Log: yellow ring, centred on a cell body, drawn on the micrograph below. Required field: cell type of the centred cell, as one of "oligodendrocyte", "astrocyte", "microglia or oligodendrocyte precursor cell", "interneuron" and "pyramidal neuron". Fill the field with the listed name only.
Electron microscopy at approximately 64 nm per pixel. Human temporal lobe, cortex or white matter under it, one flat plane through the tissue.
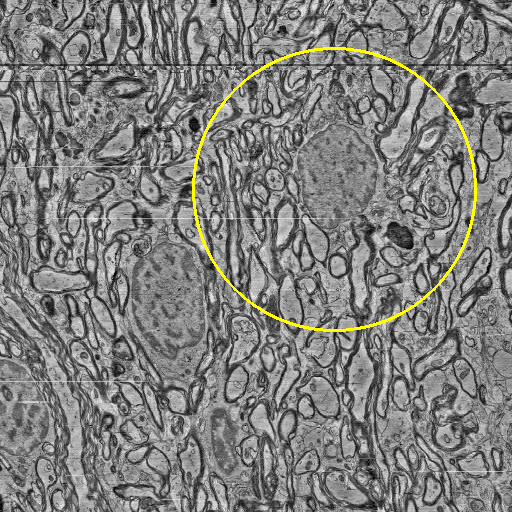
oligodendrocyte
